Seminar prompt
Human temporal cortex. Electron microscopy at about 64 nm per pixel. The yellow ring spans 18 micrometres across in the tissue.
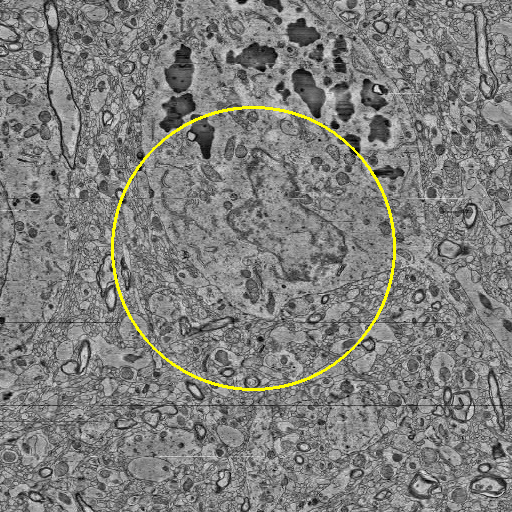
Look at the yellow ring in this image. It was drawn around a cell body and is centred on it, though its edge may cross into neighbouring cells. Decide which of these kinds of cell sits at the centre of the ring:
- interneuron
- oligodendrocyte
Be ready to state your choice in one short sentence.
The kind of cell at the ring's centre is an interneuron.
